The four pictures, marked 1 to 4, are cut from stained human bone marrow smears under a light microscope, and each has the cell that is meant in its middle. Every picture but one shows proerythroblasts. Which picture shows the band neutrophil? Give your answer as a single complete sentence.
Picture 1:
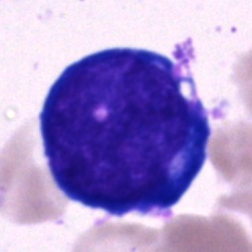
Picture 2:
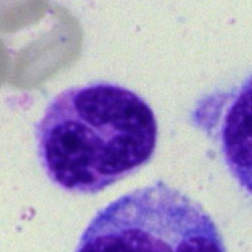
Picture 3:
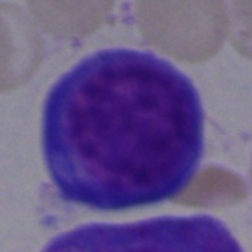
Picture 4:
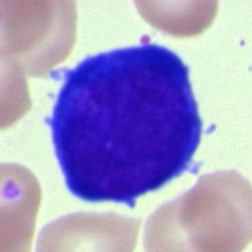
The cell in picture 2 is the band neutrophil.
